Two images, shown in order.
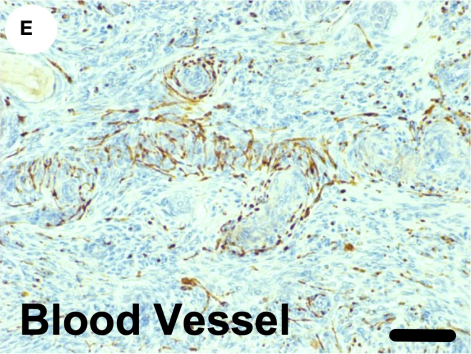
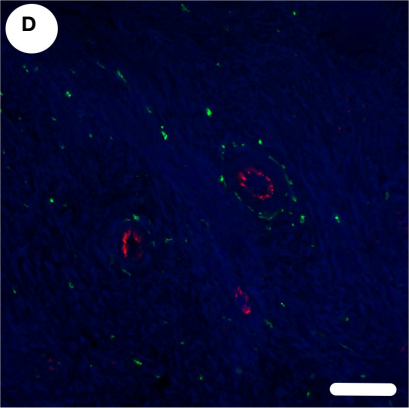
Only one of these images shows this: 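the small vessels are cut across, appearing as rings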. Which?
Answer: the second image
